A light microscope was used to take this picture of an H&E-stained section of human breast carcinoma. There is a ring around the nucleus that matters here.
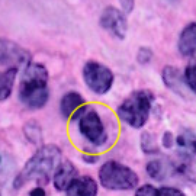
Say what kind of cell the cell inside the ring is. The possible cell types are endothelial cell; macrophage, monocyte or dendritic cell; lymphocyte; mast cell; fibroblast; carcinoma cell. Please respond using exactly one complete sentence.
In terms of identity, the cell inside the ring is a lymphocyte.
